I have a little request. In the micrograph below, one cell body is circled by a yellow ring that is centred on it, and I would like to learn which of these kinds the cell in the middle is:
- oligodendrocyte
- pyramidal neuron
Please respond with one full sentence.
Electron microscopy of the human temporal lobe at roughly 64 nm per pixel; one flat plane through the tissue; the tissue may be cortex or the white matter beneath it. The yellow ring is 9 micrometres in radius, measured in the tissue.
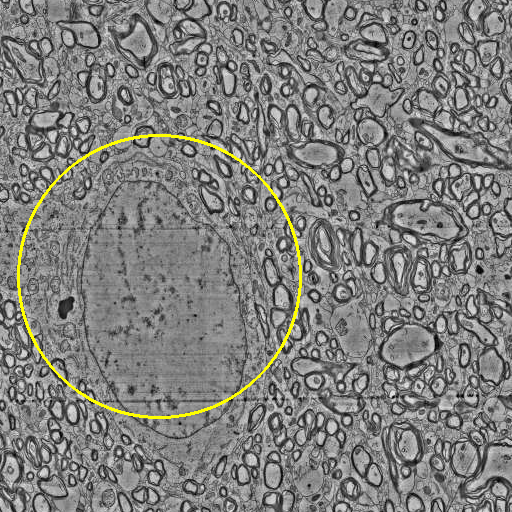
The cell sitting in the middle of the yellow ring in the micrograph is a pyramidal neuron.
